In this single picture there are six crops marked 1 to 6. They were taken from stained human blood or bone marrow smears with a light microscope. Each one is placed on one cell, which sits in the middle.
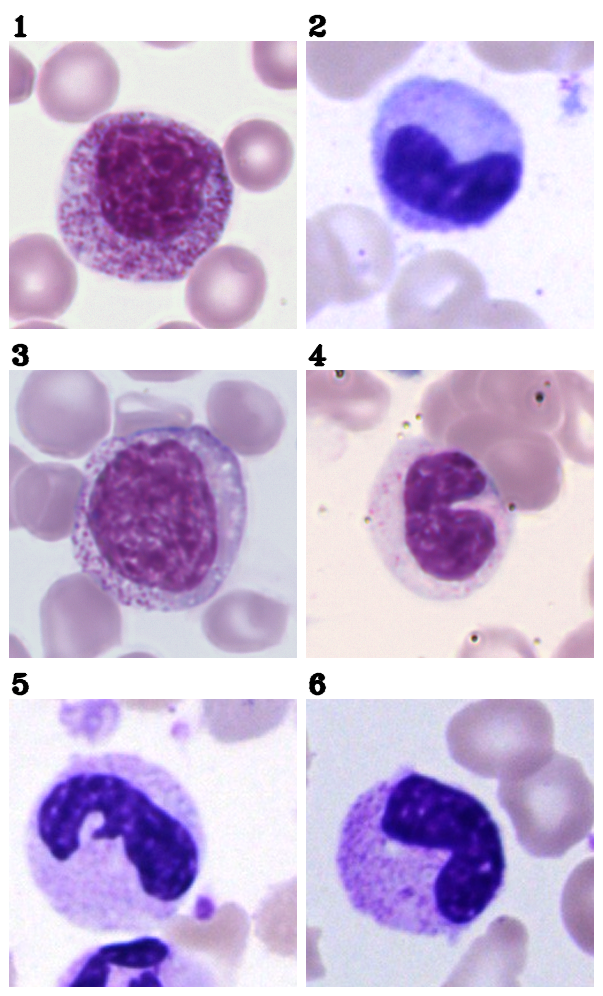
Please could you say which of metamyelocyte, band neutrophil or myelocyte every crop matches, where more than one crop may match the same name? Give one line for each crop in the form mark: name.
1: myelocyte
2: metamyelocyte
3: myelocyte
4: band neutrophil
5: band neutrophil
6: band neutrophil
